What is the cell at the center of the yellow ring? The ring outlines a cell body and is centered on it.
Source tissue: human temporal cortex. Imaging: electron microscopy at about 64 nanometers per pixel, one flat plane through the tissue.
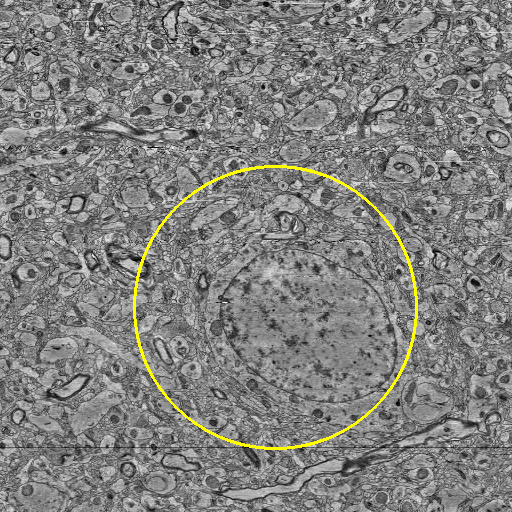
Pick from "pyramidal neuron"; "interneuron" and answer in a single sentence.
The yellow ring is centered on a pyramidal neuron.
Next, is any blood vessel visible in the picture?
No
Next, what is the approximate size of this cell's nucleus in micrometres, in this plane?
In this plane, roughly 12 by 9 micrometres.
